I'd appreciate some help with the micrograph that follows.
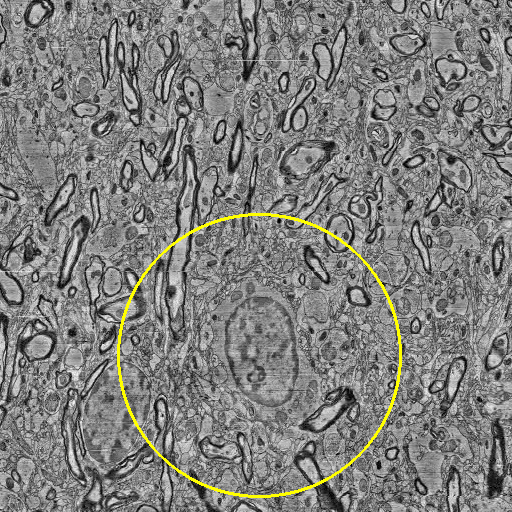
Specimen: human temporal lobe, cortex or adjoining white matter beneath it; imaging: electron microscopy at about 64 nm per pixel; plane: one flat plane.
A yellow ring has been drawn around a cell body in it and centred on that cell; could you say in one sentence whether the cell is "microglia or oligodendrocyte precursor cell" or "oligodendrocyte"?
It is an oligodendrocyte at the centre of the ring.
